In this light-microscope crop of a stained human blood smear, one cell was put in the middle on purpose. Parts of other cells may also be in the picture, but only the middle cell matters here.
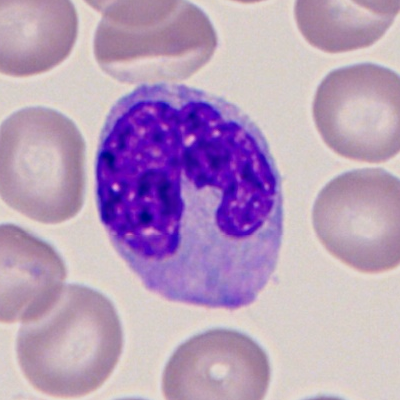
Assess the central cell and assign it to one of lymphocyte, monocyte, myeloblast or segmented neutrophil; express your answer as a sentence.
As for the cell in the middle, it is a monocyte.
